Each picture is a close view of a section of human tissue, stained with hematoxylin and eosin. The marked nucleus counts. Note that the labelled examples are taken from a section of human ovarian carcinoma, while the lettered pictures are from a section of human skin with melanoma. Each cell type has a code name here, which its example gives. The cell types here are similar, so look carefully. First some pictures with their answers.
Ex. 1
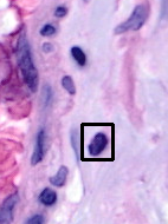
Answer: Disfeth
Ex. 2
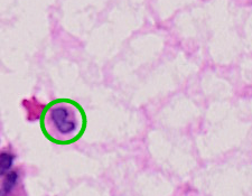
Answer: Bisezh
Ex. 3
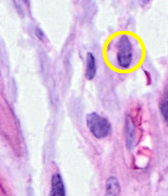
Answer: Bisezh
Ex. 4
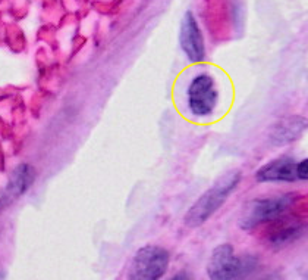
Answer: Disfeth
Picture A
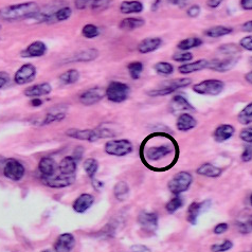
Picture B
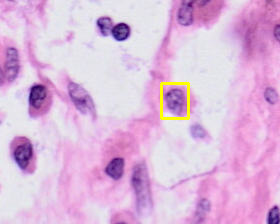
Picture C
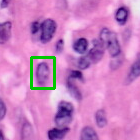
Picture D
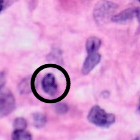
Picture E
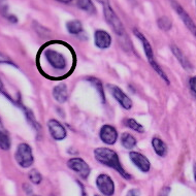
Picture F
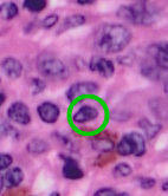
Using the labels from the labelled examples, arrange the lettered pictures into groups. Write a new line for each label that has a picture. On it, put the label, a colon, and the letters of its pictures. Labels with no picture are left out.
Disfeth: A, D, E, F
Bisezh: B, C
